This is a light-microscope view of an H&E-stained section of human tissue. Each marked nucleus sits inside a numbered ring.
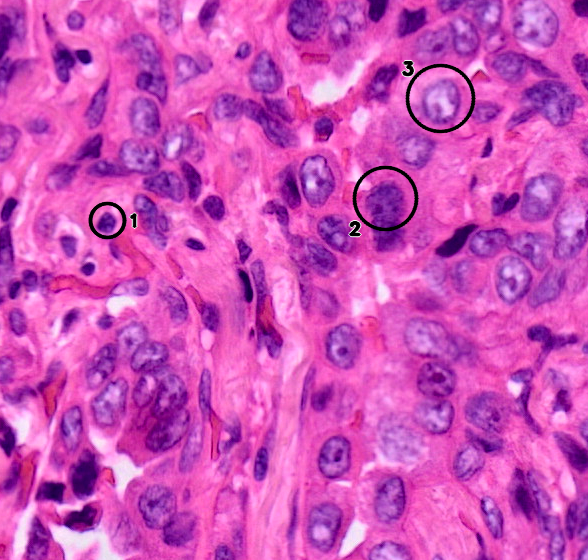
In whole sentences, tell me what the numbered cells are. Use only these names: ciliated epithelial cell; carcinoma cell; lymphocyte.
Cell 1 is a lymphocyte, cell 2 is a carcinoma cell and cell 3 is a carcinoma cell.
